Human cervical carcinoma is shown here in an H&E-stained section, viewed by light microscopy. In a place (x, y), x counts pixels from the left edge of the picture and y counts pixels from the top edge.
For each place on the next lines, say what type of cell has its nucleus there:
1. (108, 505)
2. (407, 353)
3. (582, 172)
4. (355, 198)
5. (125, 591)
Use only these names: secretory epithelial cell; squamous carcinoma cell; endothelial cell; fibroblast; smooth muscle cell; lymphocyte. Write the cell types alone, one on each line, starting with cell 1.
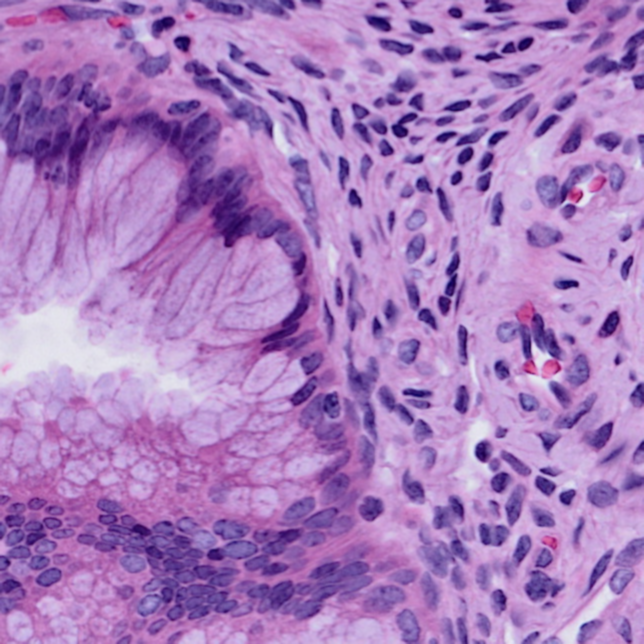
secretory epithelial cell
endothelial cell
endothelial cell
fibroblast
secretory epithelial cell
